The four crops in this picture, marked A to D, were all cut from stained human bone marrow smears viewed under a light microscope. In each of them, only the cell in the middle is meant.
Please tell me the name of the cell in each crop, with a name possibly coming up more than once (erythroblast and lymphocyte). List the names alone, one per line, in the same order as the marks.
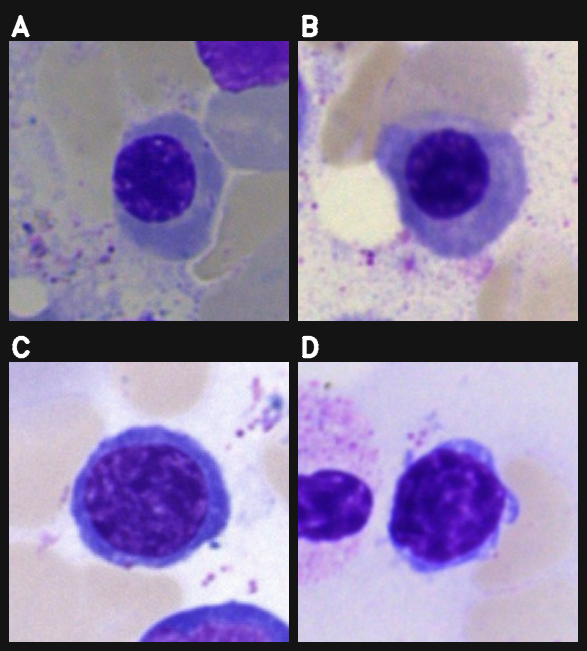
erythroblast
erythroblast
erythroblast
lymphocyte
